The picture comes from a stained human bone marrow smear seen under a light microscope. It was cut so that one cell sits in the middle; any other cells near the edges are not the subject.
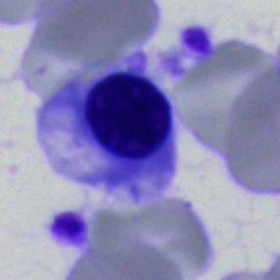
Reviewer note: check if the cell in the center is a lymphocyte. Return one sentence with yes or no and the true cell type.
No, the cell at the center of this crop is a normoblast instead of a lymphocyte.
